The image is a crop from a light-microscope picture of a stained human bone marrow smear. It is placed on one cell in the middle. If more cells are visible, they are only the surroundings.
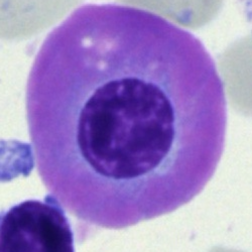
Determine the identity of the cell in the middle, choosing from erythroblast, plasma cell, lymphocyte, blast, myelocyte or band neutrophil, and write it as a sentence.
Standing at the centre of this crop is a plasma cell.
